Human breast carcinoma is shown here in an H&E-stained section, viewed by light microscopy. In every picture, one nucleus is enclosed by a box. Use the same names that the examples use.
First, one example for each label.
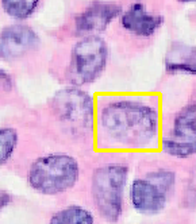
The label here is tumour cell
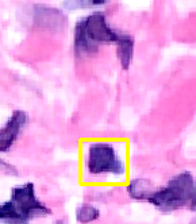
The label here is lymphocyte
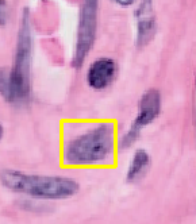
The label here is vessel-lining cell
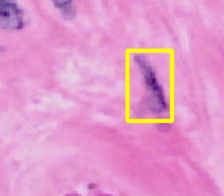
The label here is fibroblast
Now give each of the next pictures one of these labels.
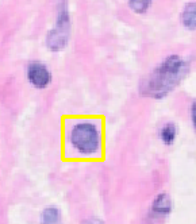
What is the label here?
lymphocyte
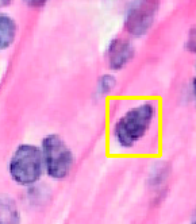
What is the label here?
lymphocyte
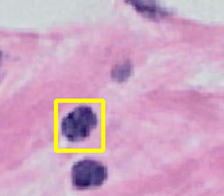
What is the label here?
lymphocyte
